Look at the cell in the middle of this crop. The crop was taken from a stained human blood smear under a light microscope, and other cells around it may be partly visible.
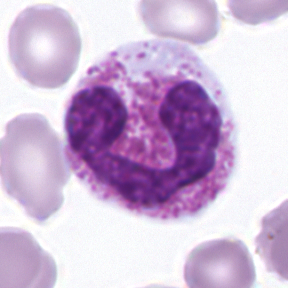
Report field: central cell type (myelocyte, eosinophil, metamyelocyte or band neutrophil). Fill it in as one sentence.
In the center of this field lies an eosinophil.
